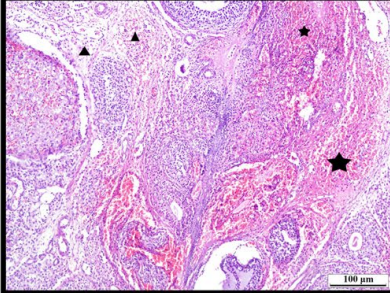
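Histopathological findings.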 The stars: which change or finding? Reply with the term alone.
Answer: Hemorrhage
